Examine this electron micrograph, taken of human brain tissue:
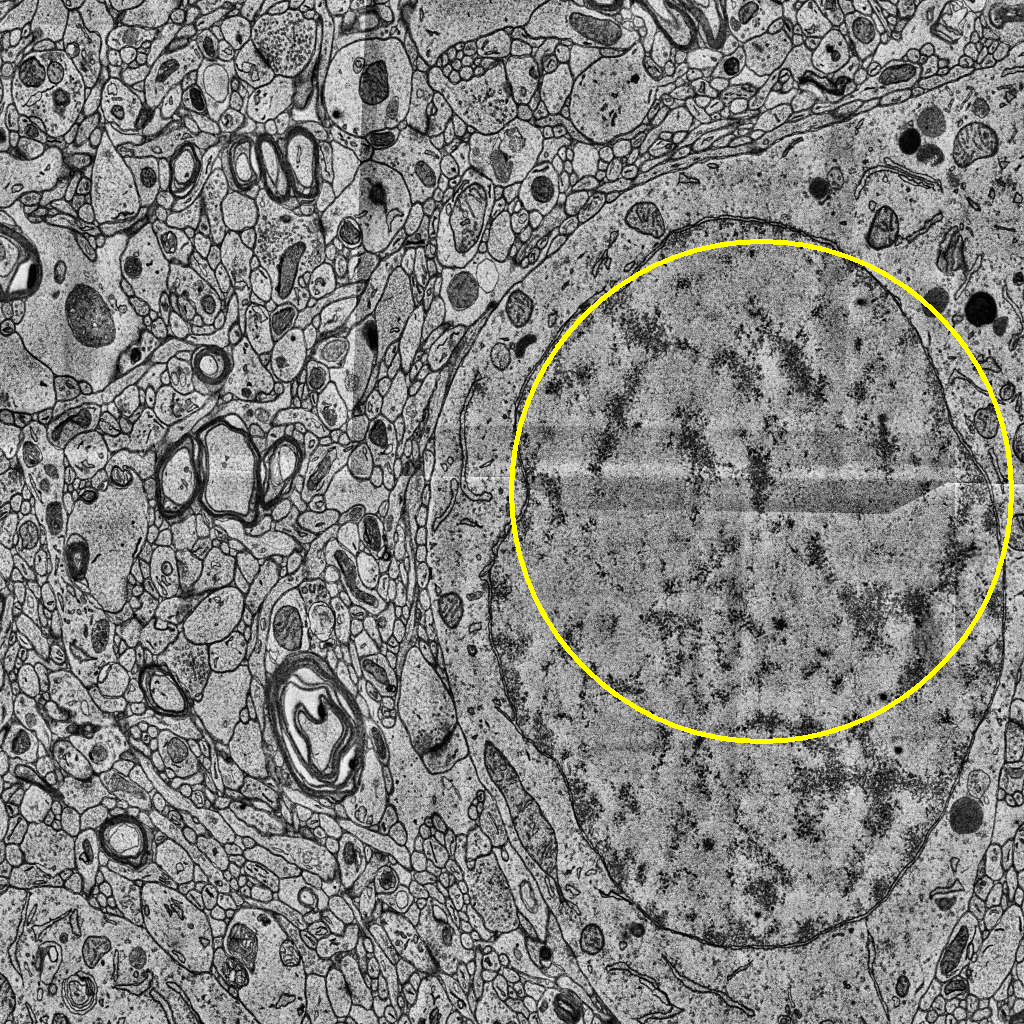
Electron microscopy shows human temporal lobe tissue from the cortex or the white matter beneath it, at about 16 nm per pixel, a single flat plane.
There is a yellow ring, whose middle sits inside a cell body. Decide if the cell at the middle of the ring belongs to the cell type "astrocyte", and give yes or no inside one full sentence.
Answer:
No, the cell at the centre of the yellow ring in this picture is of a different type.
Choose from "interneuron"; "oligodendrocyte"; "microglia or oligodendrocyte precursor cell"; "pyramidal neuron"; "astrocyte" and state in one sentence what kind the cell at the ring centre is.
At the centre of the ring sits a pyramidal neuron.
